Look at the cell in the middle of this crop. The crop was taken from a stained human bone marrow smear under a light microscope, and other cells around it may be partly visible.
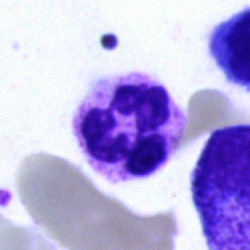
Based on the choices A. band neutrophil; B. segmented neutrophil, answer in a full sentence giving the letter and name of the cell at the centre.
The cell centered in the crop is a segmented neutrophil, making option B the correct pick.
